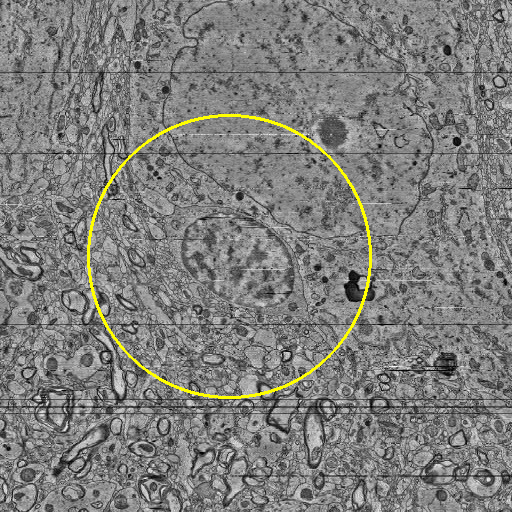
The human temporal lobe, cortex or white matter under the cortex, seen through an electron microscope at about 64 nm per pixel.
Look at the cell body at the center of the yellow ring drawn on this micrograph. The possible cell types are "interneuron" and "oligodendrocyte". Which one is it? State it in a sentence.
The cell in the middle of the ring is an oligodendrocyte.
